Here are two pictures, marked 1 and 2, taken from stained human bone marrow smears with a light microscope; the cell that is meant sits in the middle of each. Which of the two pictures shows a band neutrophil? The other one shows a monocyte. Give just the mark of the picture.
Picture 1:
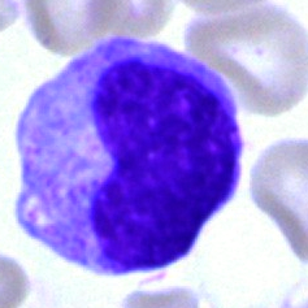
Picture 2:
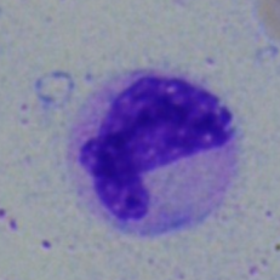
2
